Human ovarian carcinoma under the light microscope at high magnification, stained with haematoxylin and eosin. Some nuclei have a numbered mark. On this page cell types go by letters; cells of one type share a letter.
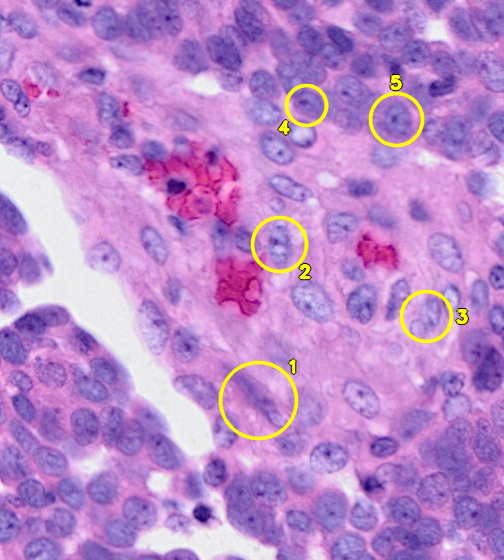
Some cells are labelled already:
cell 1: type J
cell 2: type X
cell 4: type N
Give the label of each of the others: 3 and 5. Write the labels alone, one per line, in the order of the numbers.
type X
type N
